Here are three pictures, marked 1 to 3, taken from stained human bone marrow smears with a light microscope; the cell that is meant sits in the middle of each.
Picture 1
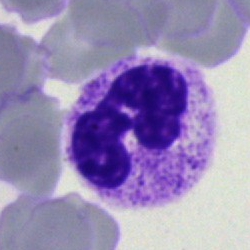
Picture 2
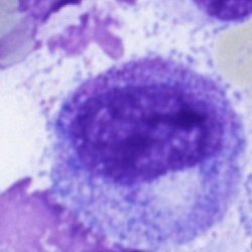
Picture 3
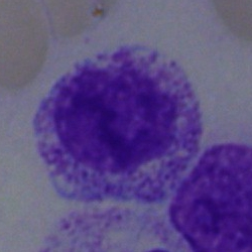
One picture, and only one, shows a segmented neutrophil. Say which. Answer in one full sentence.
The segmented neutrophil is the one in picture 1.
